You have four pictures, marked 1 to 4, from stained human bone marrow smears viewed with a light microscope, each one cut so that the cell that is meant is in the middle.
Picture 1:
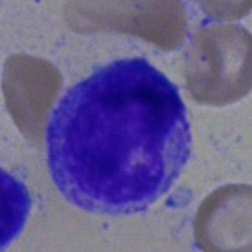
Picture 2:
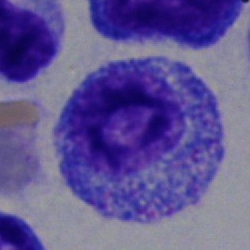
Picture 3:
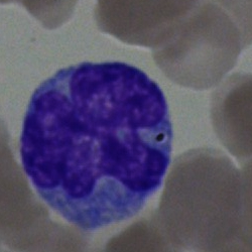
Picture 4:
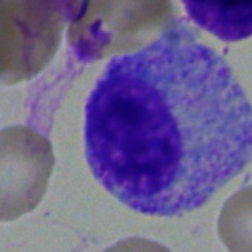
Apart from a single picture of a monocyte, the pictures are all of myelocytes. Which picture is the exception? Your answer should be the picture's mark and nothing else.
3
